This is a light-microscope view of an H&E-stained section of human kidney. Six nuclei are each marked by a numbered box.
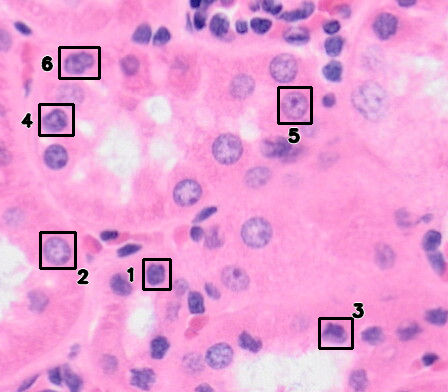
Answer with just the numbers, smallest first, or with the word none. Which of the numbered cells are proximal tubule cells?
2, 4, 5, 6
